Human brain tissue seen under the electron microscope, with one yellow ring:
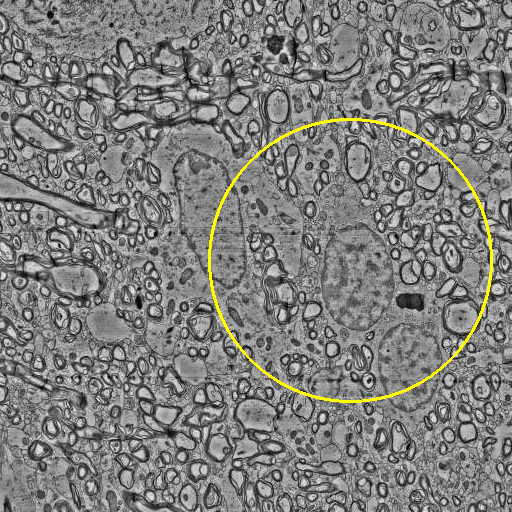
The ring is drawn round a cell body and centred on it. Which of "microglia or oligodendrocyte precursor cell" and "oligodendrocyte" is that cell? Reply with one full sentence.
The picture shows an oligodendrocyte at the very centre of the yellow ring.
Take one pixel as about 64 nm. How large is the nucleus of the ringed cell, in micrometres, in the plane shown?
Approximately 7 x 5 micrometres in this plane.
